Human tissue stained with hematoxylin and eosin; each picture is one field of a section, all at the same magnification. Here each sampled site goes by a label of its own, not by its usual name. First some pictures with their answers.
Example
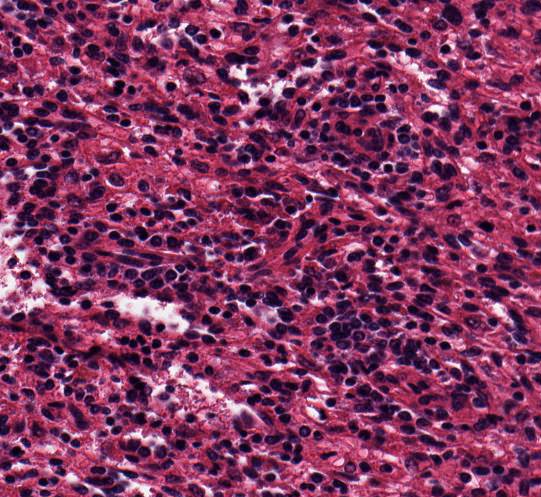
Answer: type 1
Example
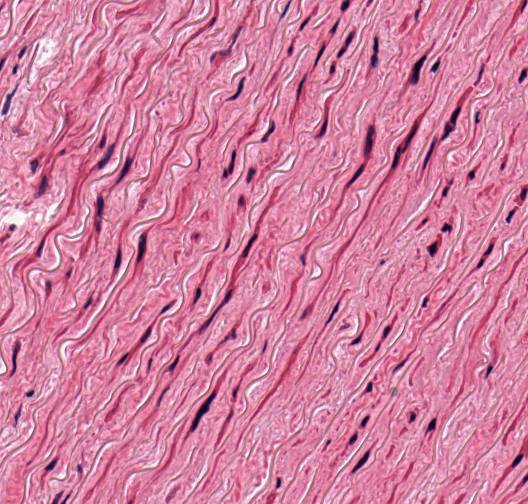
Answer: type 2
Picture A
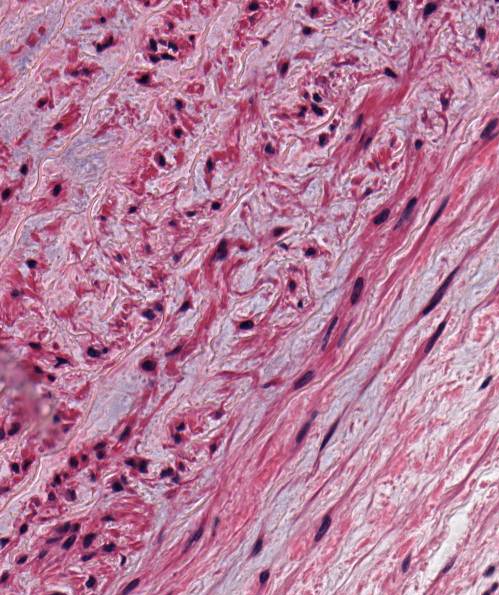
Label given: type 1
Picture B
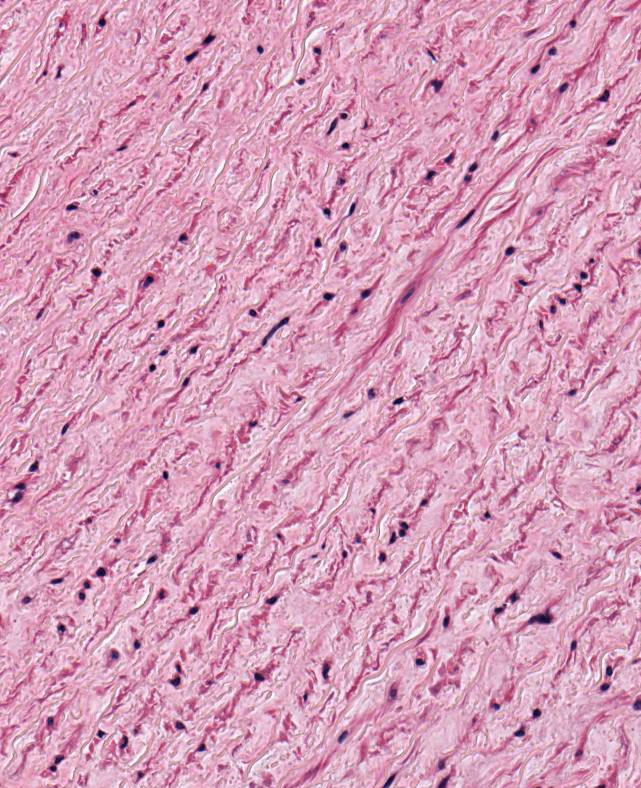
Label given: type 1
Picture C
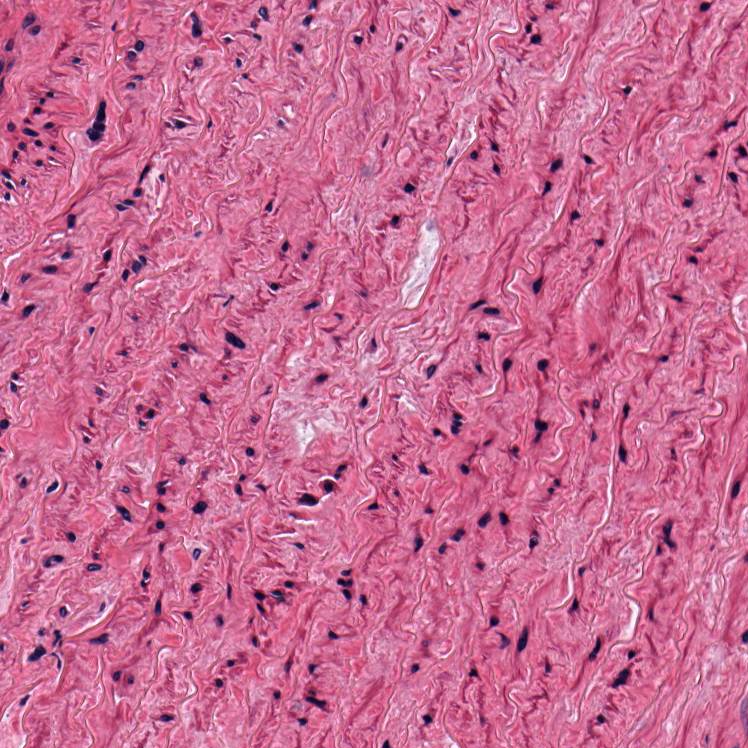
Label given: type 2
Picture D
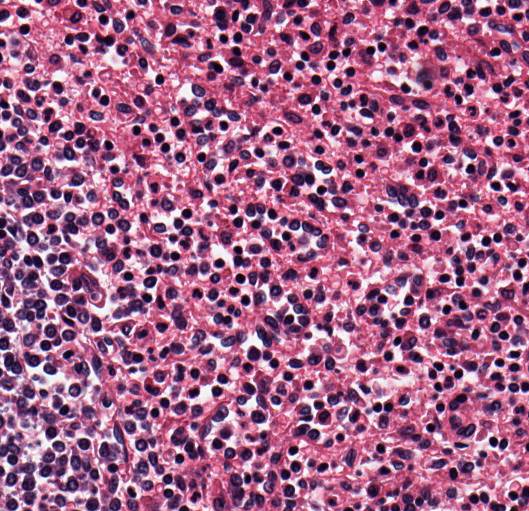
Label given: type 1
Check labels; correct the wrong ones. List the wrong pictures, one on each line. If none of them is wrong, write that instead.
A: type 2, not type 1
B: type 2, not type 1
